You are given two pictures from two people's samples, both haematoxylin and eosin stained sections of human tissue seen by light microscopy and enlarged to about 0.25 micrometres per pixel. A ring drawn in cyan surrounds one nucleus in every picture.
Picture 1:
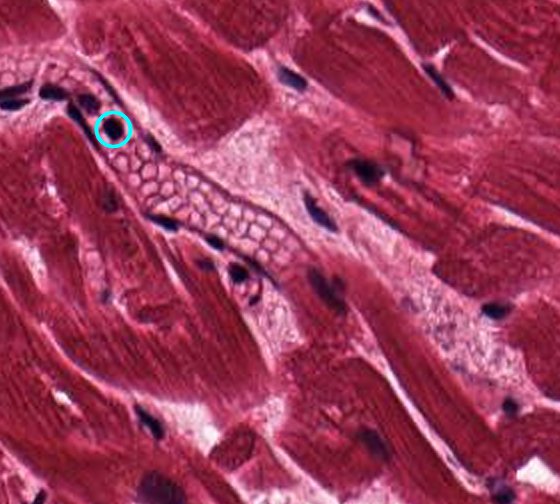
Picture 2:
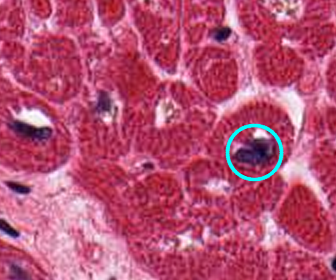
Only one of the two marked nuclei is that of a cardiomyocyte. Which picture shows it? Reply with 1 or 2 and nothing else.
2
